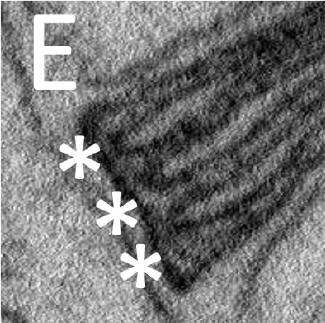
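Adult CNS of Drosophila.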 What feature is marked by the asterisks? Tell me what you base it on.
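The ends of several parallel membrane sheets are joined along one edge. The asterisks lie along this joined edge. On this evidence: comb-like structures.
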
